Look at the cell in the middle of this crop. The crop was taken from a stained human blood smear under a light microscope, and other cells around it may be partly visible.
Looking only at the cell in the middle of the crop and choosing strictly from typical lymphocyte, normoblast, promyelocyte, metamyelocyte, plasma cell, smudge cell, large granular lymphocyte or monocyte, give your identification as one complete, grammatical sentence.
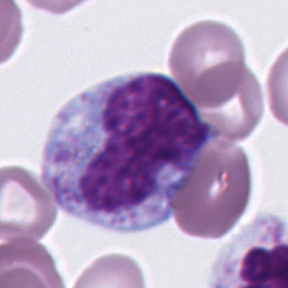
The cell at the central position in this crop is a monocyte.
